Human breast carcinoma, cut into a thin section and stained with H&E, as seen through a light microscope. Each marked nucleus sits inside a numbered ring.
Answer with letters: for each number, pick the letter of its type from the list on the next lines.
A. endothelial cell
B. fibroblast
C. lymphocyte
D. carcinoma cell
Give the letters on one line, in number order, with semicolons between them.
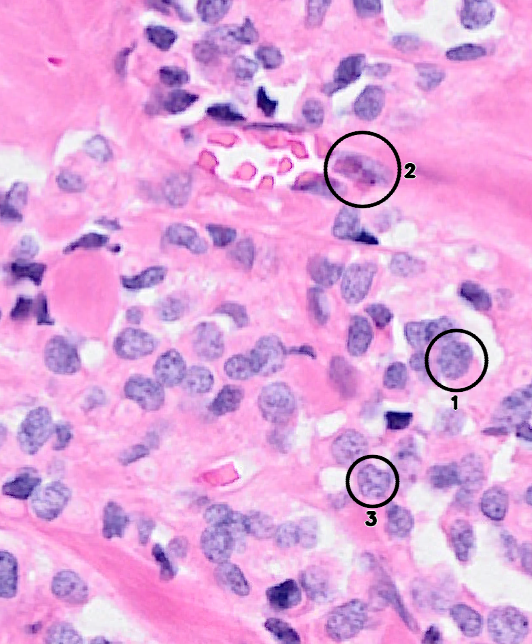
D; A; D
